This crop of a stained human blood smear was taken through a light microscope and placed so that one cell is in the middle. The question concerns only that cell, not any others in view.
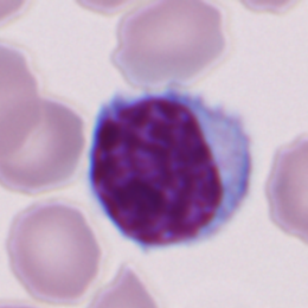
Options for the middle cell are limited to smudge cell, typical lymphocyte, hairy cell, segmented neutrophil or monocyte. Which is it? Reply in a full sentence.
Of the cells in this crop, the central one is a typical lymphocyte.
